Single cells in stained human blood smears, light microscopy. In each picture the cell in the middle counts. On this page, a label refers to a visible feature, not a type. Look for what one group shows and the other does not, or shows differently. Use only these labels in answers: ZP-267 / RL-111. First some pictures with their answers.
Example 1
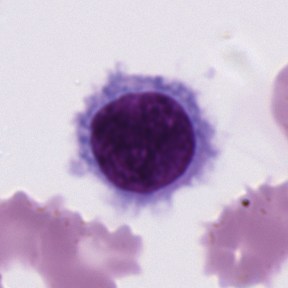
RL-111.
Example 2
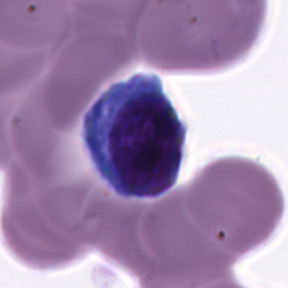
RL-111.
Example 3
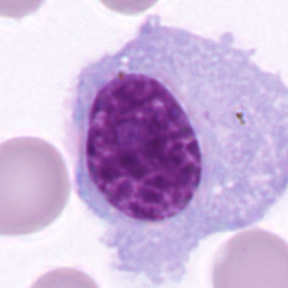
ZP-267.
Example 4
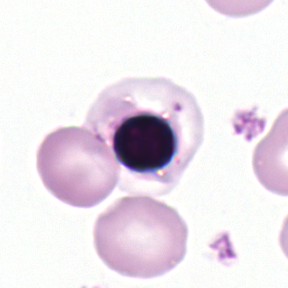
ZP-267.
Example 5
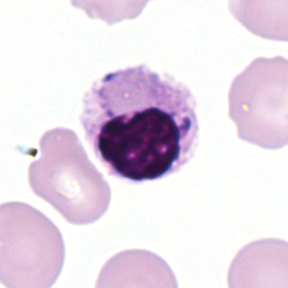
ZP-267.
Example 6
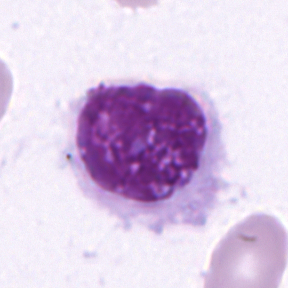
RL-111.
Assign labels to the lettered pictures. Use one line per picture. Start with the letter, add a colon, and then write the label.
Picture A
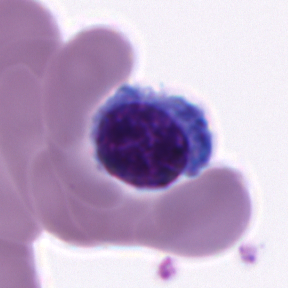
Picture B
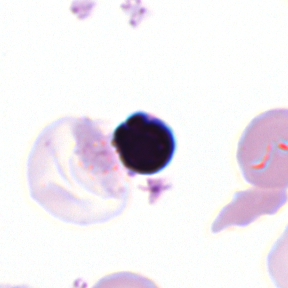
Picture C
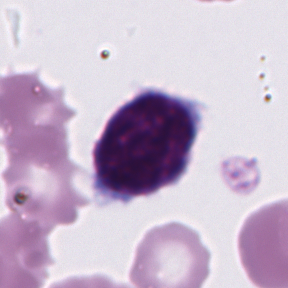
A: RL-111.
B: RL-111.
C: RL-111.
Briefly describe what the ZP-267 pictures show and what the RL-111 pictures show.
ZP-267: abundant cytoplasm; RL-111: scant cytoplasm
